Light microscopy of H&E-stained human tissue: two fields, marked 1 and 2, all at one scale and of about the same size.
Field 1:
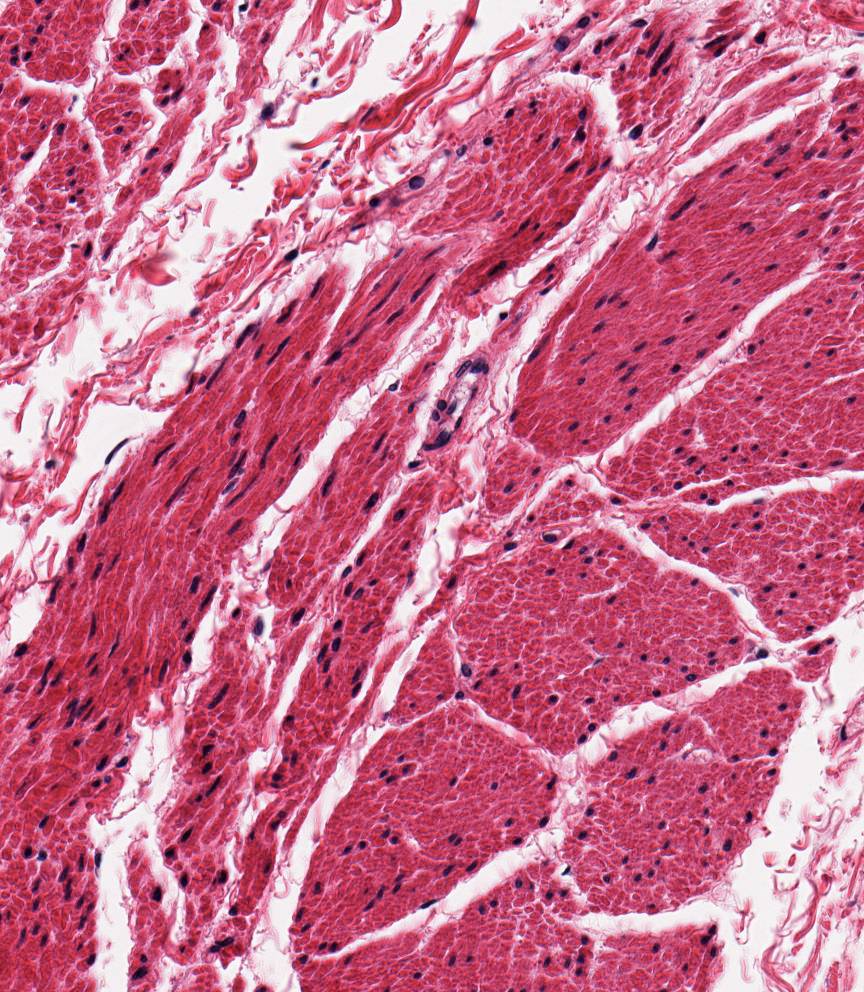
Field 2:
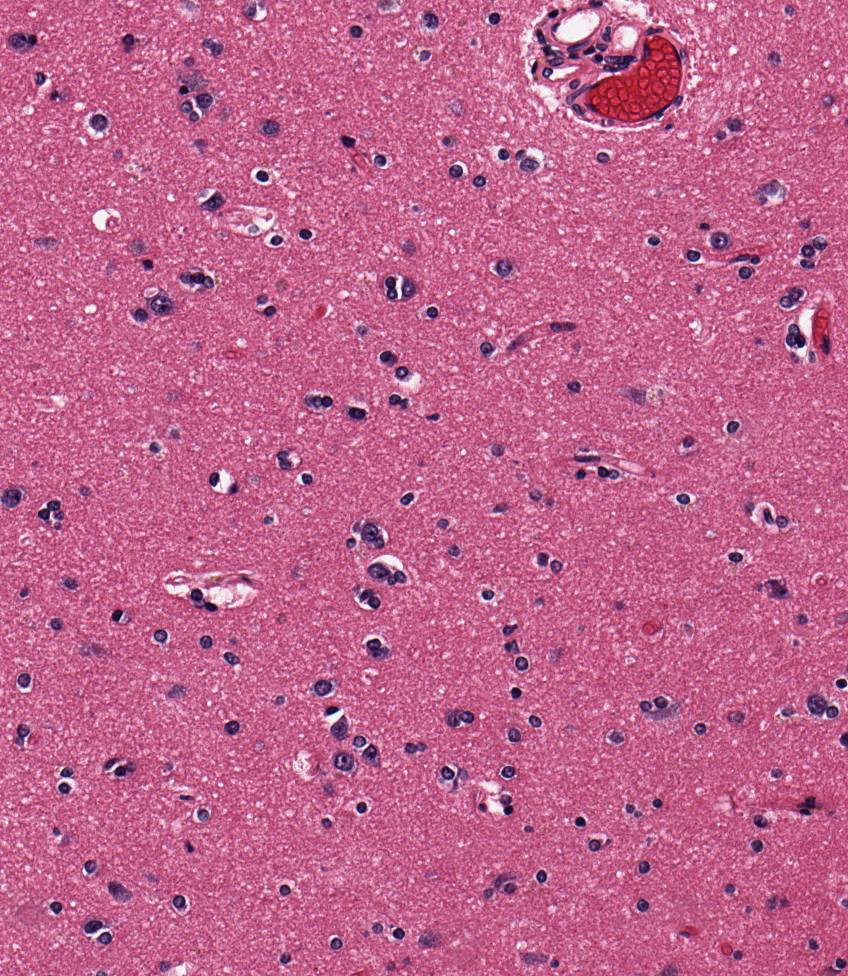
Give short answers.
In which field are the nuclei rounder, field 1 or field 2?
2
